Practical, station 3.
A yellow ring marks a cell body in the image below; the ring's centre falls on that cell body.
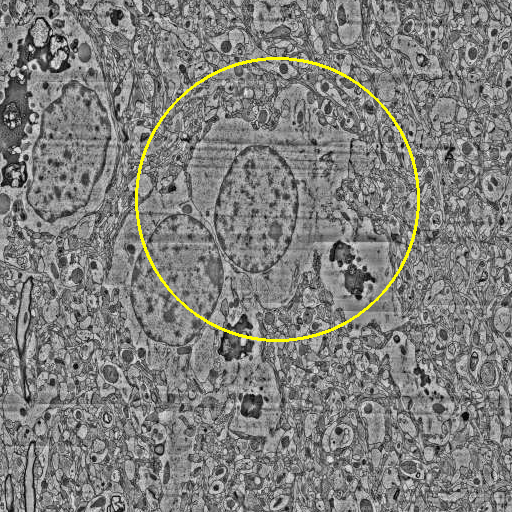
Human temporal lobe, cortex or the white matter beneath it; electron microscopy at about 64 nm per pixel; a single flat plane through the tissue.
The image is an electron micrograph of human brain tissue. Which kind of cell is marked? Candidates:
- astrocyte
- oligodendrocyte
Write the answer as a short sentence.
The marked cell body is that of an astrocyte.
